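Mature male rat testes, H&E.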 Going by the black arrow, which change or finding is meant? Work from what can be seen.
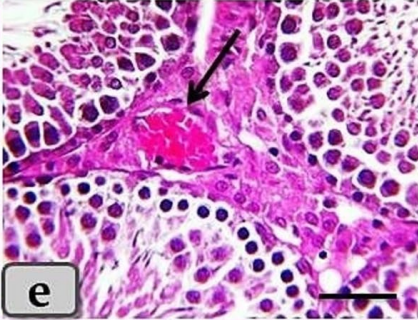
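Congestion of the intertubular blood vessels. The arrow points to a vessel packed with bright red erythrocytes. The vessel lies in the space between tubules.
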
